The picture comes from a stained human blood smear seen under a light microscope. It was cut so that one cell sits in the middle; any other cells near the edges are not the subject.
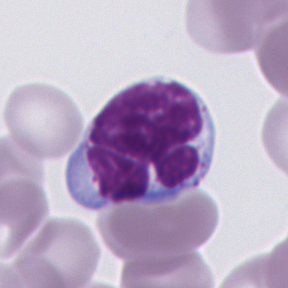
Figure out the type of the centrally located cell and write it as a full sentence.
The cell occupying the middle of the crop is a large granular lymphocyte.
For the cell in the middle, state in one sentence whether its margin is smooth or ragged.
The border of this cell runs smooth and free of any projections.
